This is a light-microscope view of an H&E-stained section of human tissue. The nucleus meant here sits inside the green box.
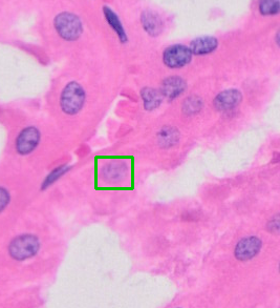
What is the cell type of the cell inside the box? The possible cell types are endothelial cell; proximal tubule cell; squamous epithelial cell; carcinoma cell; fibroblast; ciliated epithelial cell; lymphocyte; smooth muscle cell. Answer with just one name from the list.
proximal tubule cell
